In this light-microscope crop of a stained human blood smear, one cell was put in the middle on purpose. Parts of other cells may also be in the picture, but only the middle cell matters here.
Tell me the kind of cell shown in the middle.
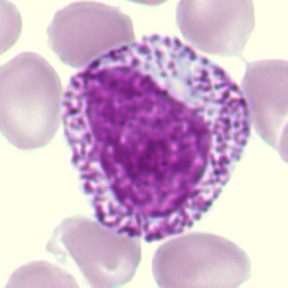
myelocyte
